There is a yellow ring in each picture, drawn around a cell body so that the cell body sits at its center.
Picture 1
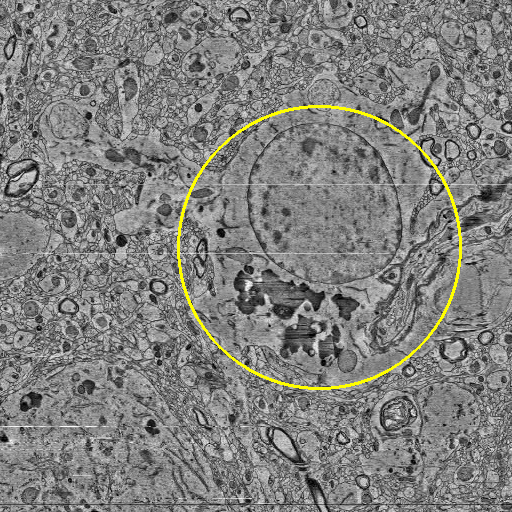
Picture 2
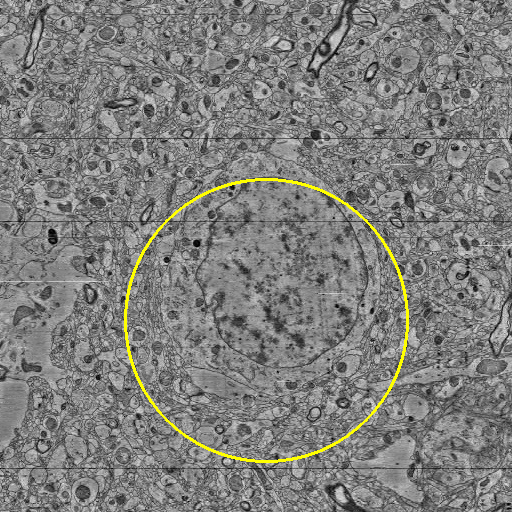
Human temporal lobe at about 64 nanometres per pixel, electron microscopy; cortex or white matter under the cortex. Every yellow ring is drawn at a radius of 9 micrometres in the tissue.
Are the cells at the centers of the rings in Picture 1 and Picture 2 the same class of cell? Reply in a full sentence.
No, the two cells are two classes of cell.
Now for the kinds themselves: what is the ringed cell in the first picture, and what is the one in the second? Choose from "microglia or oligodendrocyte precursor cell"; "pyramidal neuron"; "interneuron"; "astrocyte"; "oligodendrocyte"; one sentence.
Here the first cell is an astrocyte and the second cell is a pyramidal neuron.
